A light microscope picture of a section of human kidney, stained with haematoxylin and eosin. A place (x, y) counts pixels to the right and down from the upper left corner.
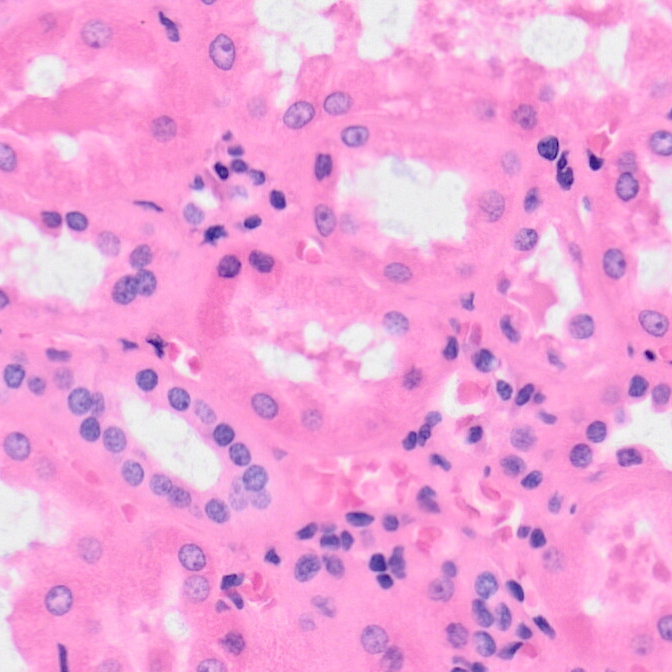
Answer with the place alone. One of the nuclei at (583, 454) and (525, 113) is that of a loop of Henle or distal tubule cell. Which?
(583, 454)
